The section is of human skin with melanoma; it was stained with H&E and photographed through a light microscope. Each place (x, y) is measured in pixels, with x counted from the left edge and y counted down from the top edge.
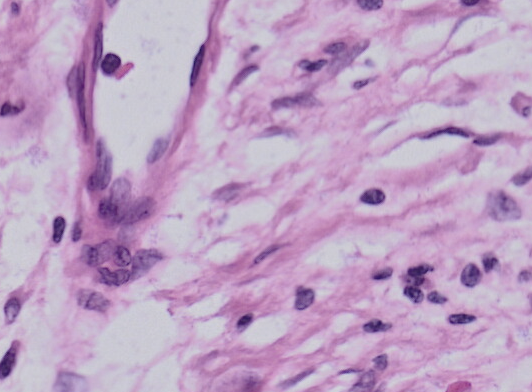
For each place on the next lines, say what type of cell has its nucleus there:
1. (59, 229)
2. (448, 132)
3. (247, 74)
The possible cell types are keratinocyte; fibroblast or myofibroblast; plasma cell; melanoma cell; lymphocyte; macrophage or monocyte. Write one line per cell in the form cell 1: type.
cell 1: lymphocyte
cell 2: fibroblast or myofibroblast
cell 3: fibroblast or myofibroblast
